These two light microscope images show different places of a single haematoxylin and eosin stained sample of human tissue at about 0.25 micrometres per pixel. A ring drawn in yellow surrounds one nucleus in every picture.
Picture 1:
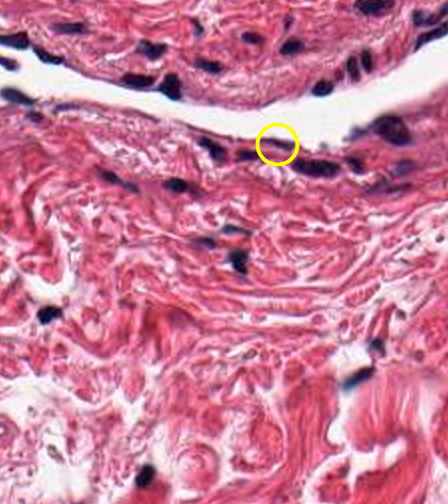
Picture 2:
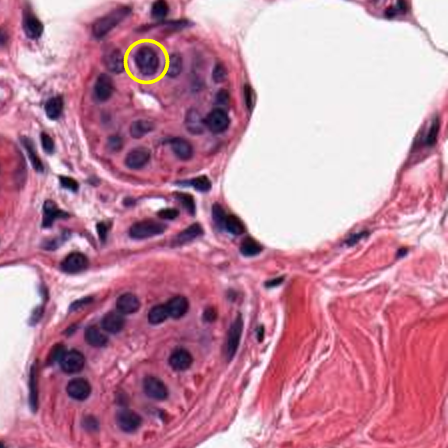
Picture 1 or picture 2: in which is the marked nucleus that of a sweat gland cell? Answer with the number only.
2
